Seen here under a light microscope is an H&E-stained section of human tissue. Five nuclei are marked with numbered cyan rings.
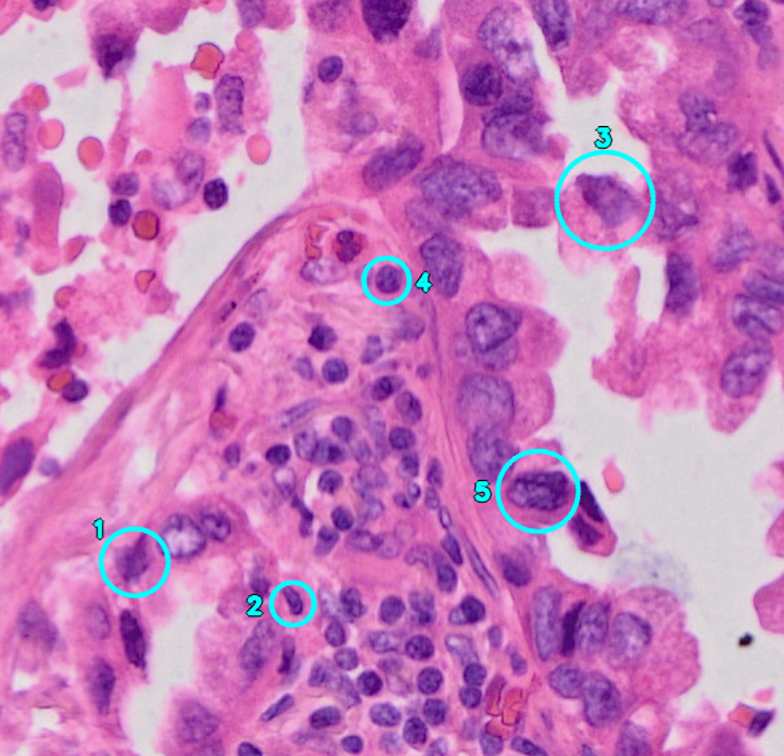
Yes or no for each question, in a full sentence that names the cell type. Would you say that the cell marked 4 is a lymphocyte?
Yes, the one numbered 4 is a lymphocyte.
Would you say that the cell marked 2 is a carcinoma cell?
No, cell 2 is not a carcinoma cell. It is a lymphocyte.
